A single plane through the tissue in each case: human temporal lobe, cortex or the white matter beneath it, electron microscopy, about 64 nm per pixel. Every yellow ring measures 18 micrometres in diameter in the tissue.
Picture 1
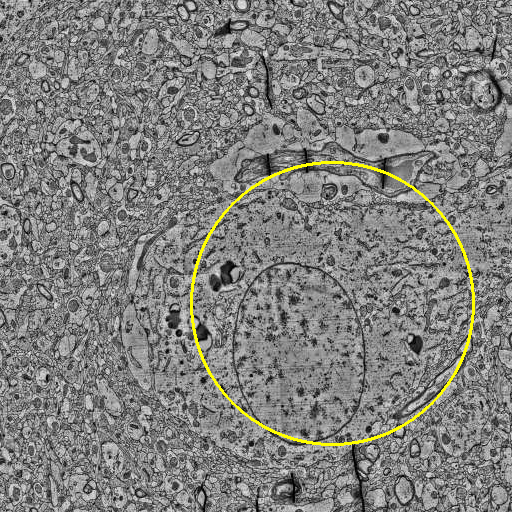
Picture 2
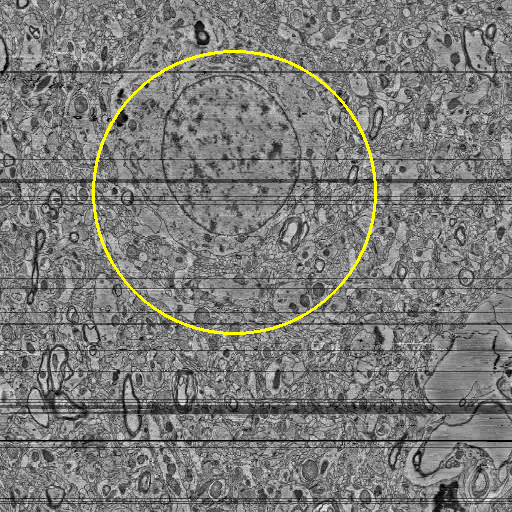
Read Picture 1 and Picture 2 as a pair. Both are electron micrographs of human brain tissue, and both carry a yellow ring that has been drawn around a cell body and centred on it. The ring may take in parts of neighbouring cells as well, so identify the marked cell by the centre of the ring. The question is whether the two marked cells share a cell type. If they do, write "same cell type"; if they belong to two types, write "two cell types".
same cell type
